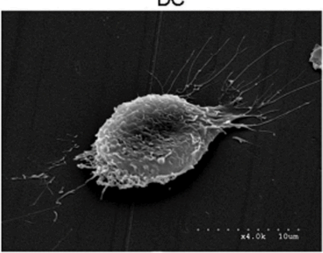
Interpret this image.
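The cell body is oval and domed, and its surface is finely ruffled with small bumps and folds. Many long, thin, thread-like processes extend from its edges across the substrate, especially from one end of the cell. A few shorter fine projections also fringe the opposite side.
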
